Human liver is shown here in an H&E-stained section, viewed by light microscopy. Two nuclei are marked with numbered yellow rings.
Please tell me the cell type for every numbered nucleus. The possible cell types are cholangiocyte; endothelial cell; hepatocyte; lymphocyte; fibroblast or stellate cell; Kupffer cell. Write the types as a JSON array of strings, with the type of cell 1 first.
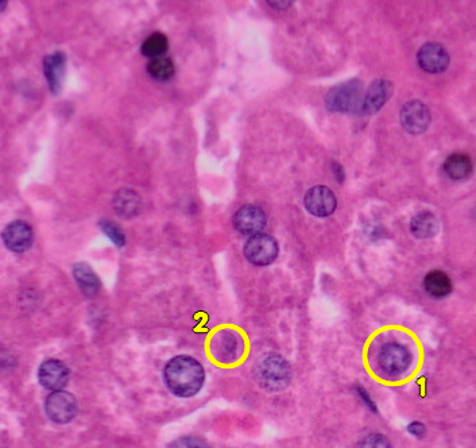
["hepatocyte", "endothelial cell"]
